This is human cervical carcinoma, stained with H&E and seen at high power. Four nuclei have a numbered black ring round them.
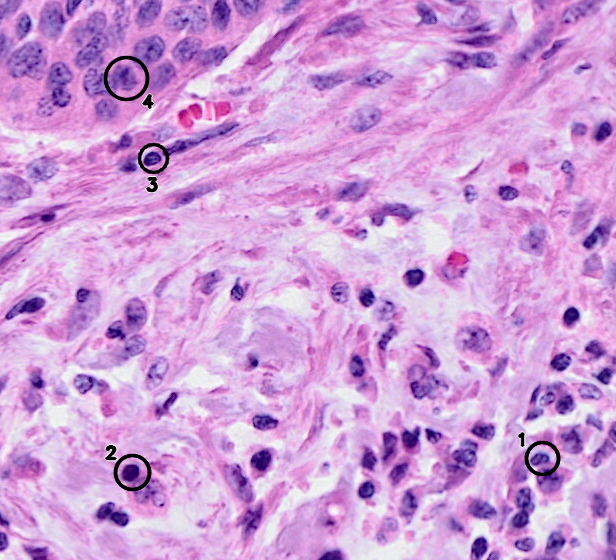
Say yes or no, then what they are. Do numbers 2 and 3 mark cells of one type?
Yes, note that cells 2 and 3 are both lymphocytes.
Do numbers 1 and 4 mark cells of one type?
No, cell 1 is a lymphocyte and cell 4 is a squamous carcinoma cell.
